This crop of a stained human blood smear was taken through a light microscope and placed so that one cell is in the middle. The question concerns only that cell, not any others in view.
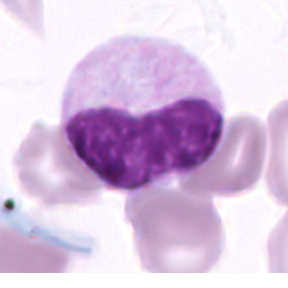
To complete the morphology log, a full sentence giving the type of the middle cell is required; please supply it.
What sits at the centre of this crop is a metamyelocyte.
